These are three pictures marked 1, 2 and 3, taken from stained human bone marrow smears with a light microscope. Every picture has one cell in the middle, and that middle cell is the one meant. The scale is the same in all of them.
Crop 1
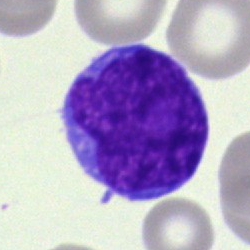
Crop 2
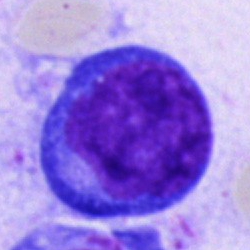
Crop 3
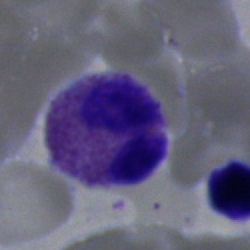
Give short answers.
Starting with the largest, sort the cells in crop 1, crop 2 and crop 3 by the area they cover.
2, 1, 3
